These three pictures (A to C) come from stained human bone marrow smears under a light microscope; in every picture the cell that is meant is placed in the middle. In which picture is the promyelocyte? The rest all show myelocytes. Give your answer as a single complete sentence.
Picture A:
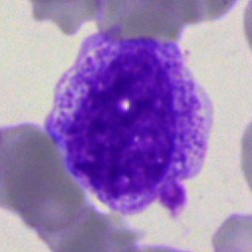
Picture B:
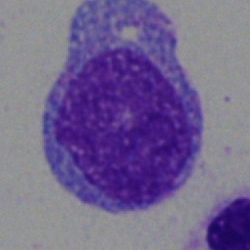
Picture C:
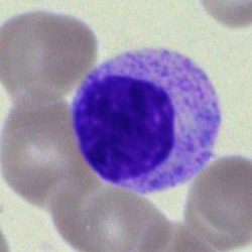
The promyelocyte is the one in picture B.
